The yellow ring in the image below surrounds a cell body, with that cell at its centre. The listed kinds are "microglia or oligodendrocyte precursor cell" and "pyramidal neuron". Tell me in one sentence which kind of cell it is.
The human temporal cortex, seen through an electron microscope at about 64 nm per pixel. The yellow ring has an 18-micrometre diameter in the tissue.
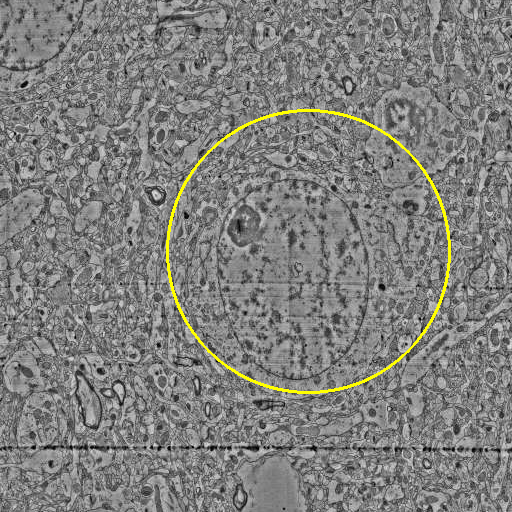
The centre of the ring holds a pyramidal neuron.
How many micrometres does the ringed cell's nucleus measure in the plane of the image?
About 13 by 10 micrometers for the nucleus, in this plane.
